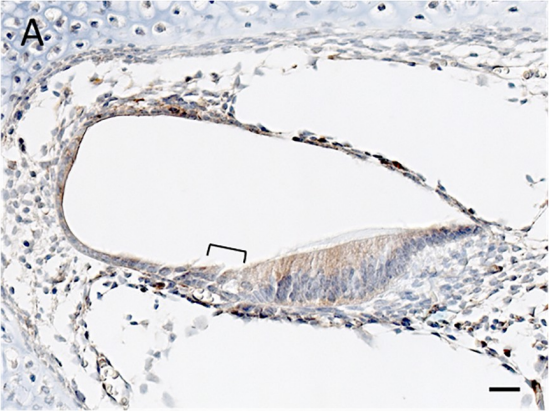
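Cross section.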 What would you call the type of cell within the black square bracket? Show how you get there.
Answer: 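The bracket sits over a small group of cells on the floor of the duct, lateral to a tall thickened epithelium. These cells lie at the luminal surface of the sensory epithelium. So: outer hair cells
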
